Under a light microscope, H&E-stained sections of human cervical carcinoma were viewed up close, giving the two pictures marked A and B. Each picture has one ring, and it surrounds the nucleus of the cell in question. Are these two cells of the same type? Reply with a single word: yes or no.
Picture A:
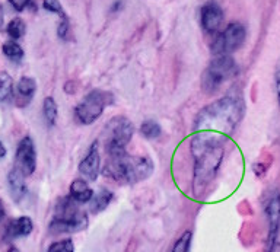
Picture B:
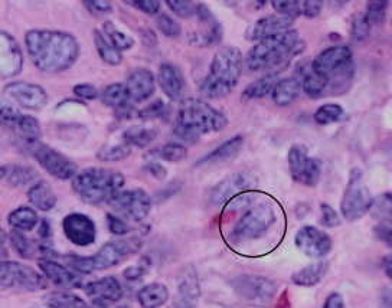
yes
